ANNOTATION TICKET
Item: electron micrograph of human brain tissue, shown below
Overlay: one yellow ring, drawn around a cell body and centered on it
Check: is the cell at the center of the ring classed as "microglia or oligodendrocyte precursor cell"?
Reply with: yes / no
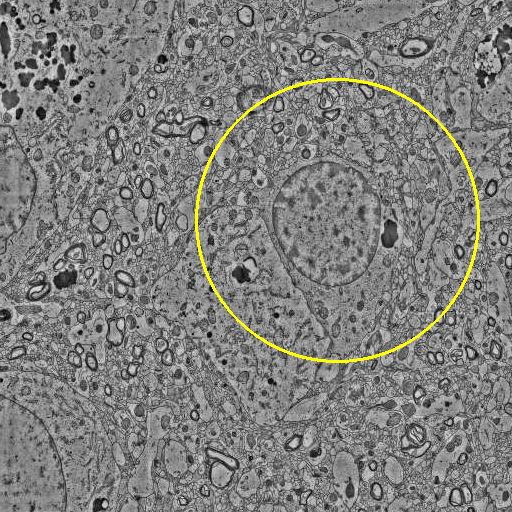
no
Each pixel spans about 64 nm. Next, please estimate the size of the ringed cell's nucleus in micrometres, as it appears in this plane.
Approximately 8 micrometers across in this plane.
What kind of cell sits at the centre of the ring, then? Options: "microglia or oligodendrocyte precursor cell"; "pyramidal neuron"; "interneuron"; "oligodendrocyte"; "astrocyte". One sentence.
The cell shown in the ring is an oligodendrocyte.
